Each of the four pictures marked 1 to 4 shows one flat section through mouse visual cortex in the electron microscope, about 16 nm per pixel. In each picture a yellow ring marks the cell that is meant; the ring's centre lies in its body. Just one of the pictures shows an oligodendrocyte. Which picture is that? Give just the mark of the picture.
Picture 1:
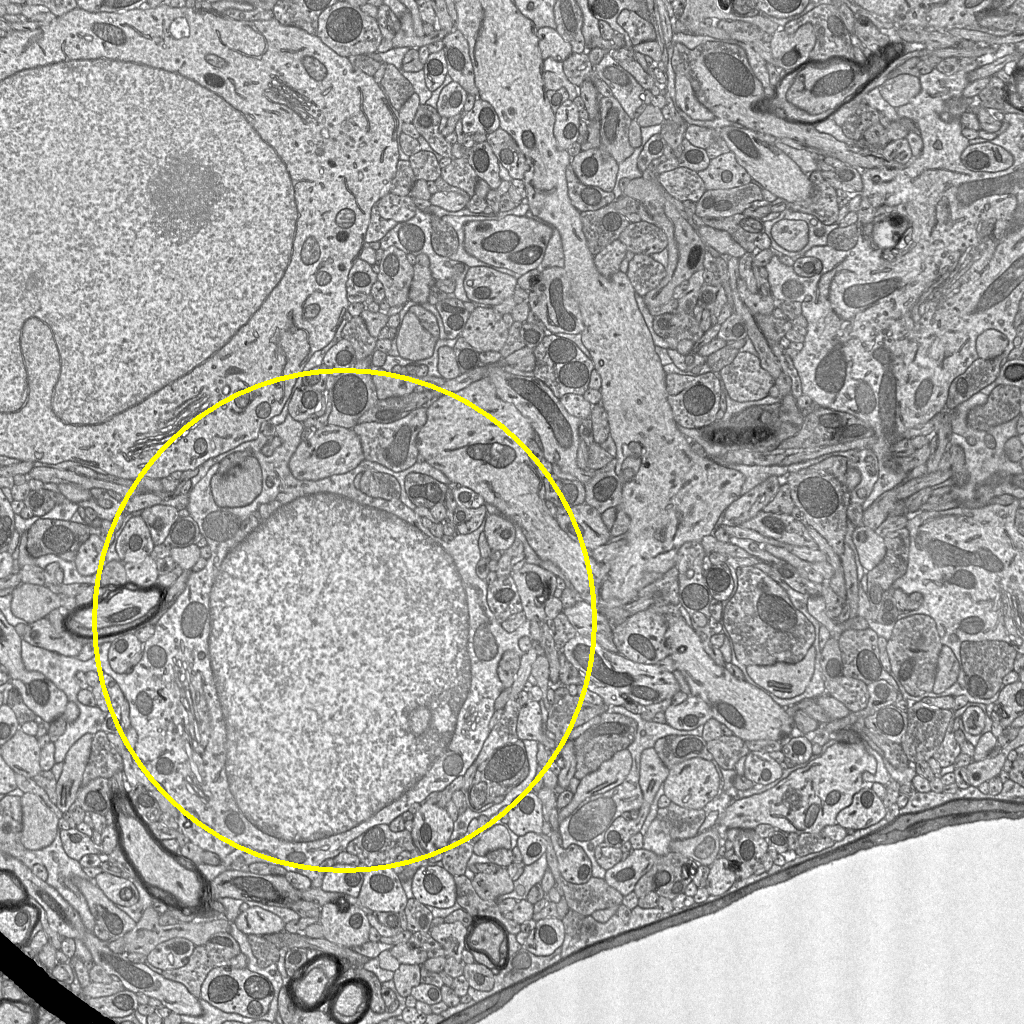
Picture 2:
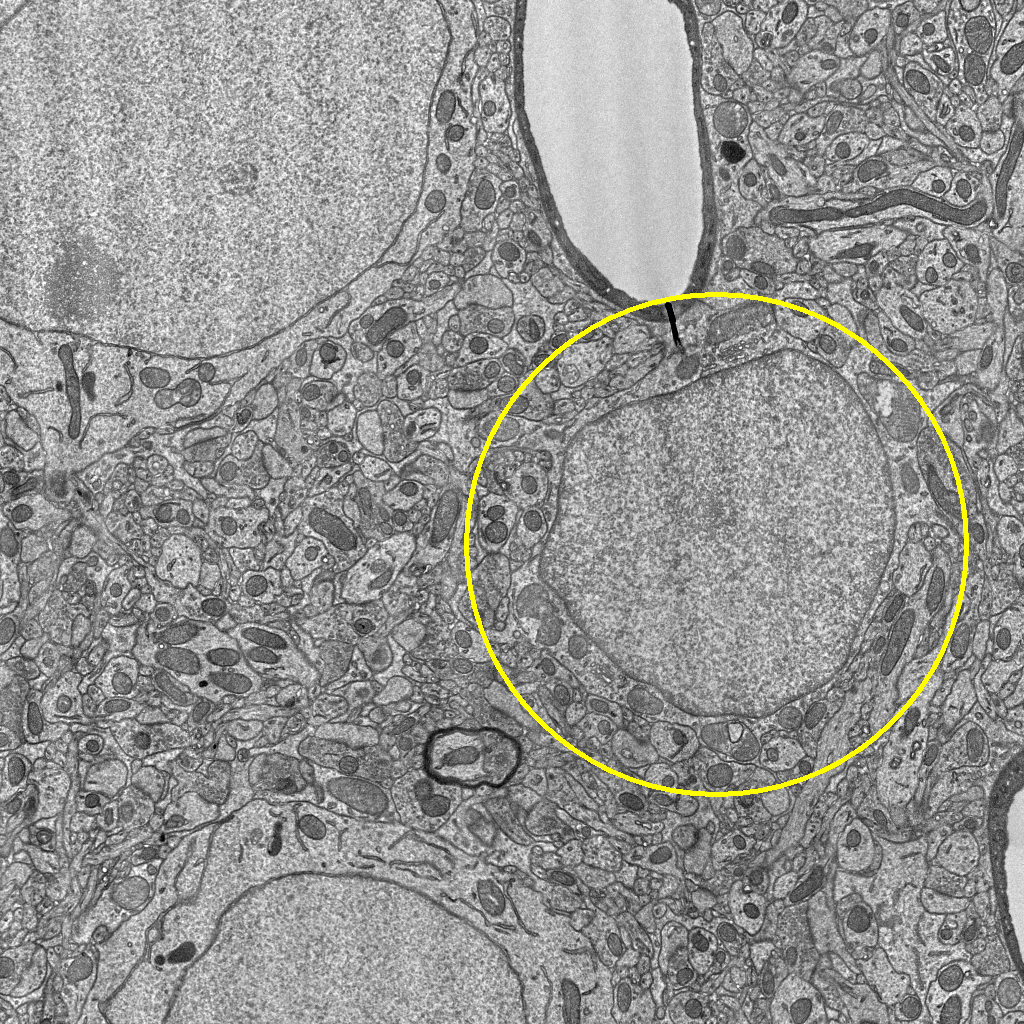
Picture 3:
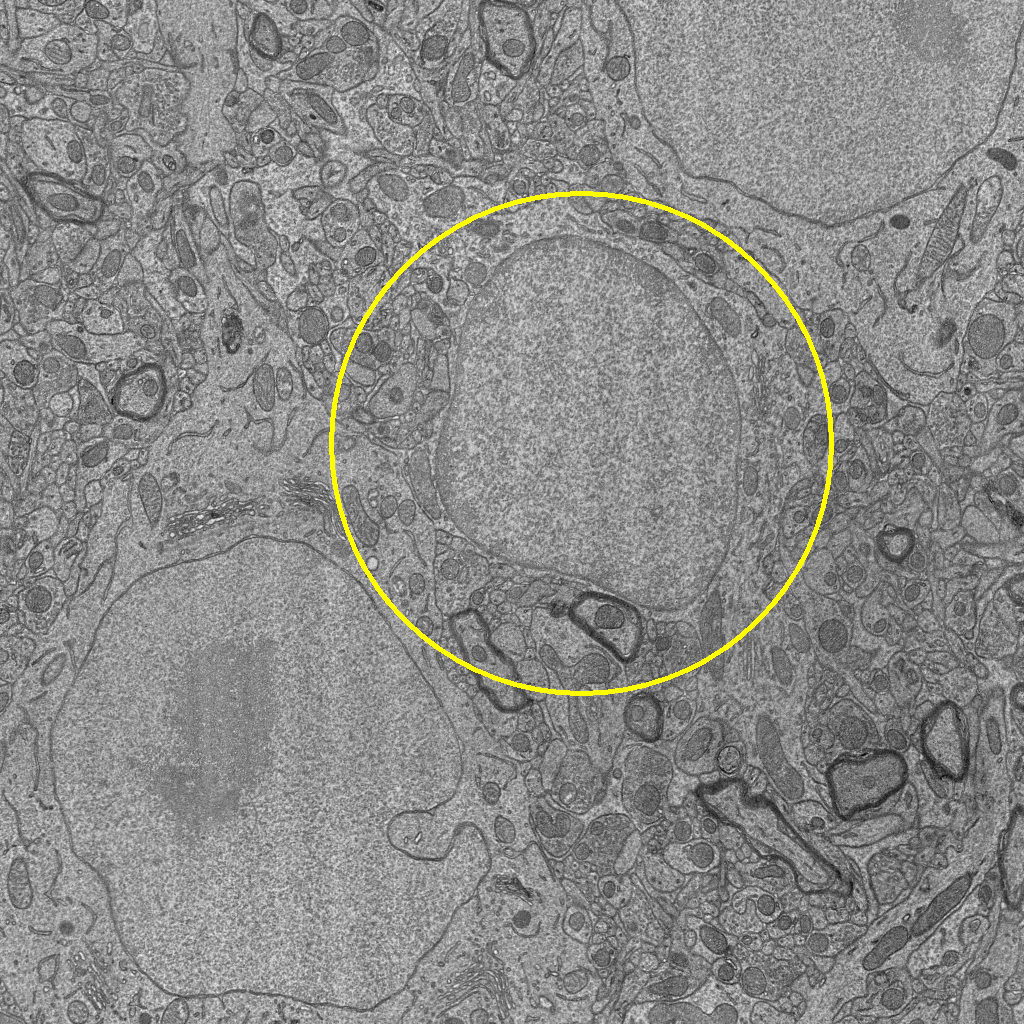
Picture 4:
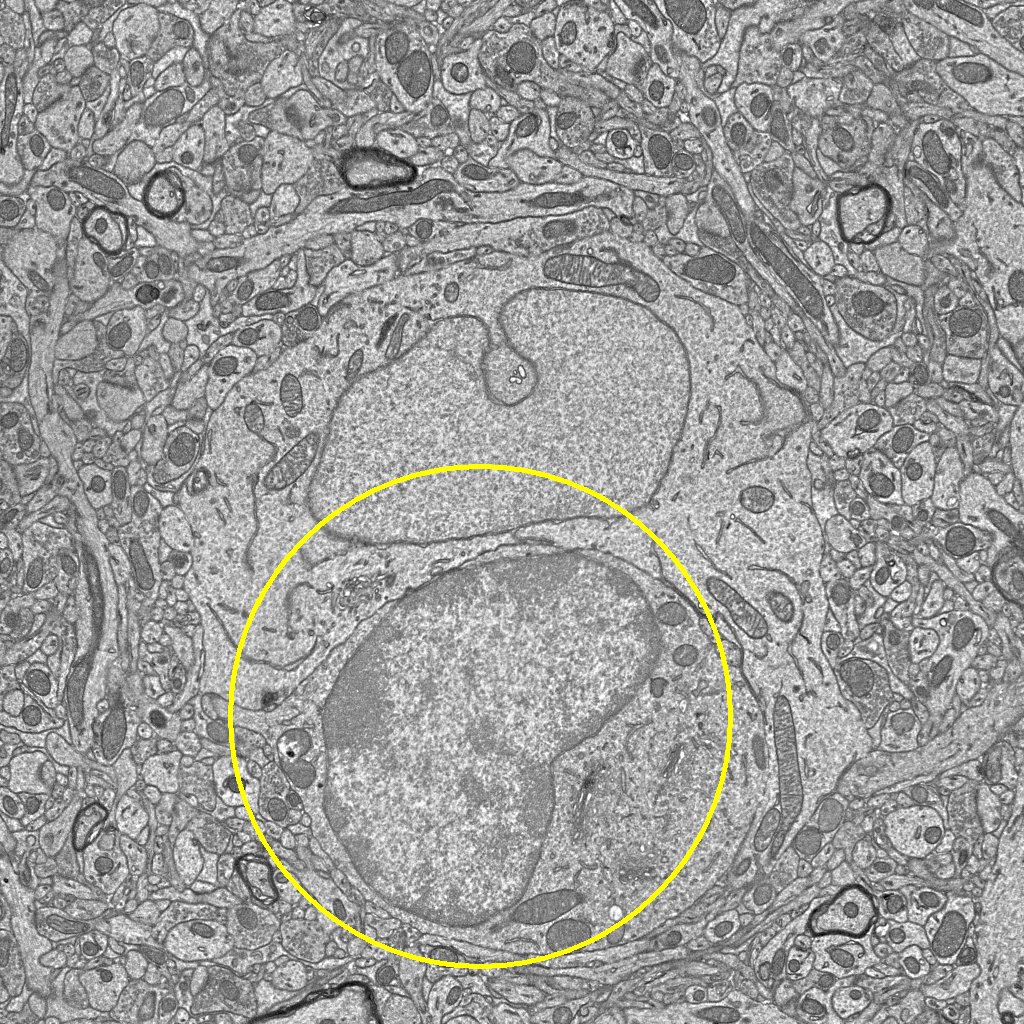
4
